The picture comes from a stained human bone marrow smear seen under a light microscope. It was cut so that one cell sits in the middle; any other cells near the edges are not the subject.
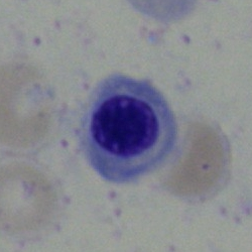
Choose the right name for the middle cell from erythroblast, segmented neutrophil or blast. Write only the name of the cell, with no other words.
erythroblast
